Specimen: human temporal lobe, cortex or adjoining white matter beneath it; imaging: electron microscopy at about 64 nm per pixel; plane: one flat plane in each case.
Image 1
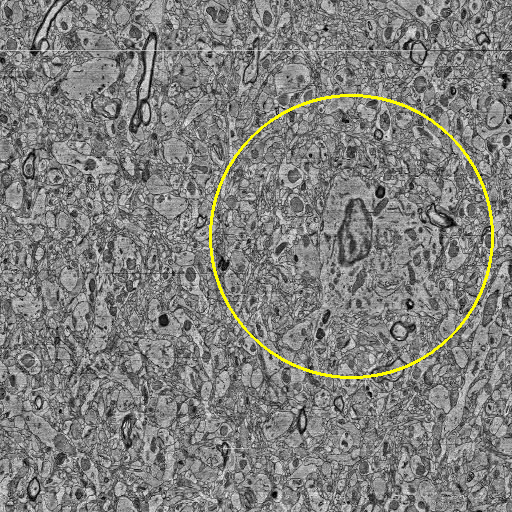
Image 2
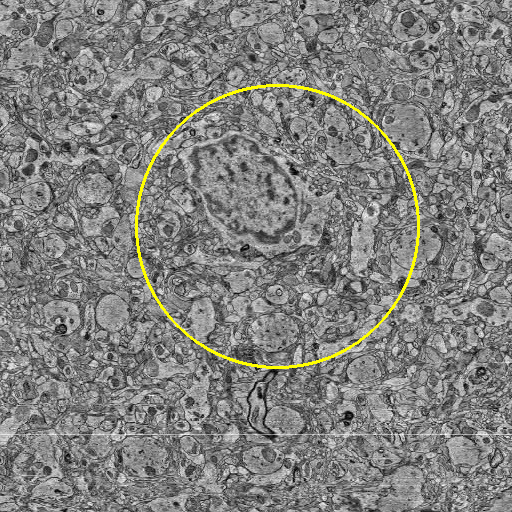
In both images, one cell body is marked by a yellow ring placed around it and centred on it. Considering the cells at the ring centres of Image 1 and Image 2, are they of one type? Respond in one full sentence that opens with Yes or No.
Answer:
Yes, a single type applies to the ring-centred cells of both Image 1 and Image 2.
